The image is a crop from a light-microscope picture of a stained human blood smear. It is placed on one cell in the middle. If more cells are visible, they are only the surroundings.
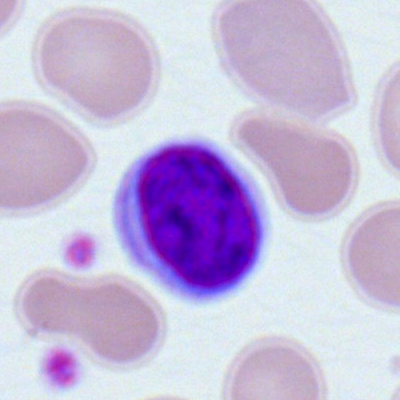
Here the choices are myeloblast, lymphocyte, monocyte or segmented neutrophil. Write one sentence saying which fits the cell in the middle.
As for the central cell, it is a lymphocyte.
